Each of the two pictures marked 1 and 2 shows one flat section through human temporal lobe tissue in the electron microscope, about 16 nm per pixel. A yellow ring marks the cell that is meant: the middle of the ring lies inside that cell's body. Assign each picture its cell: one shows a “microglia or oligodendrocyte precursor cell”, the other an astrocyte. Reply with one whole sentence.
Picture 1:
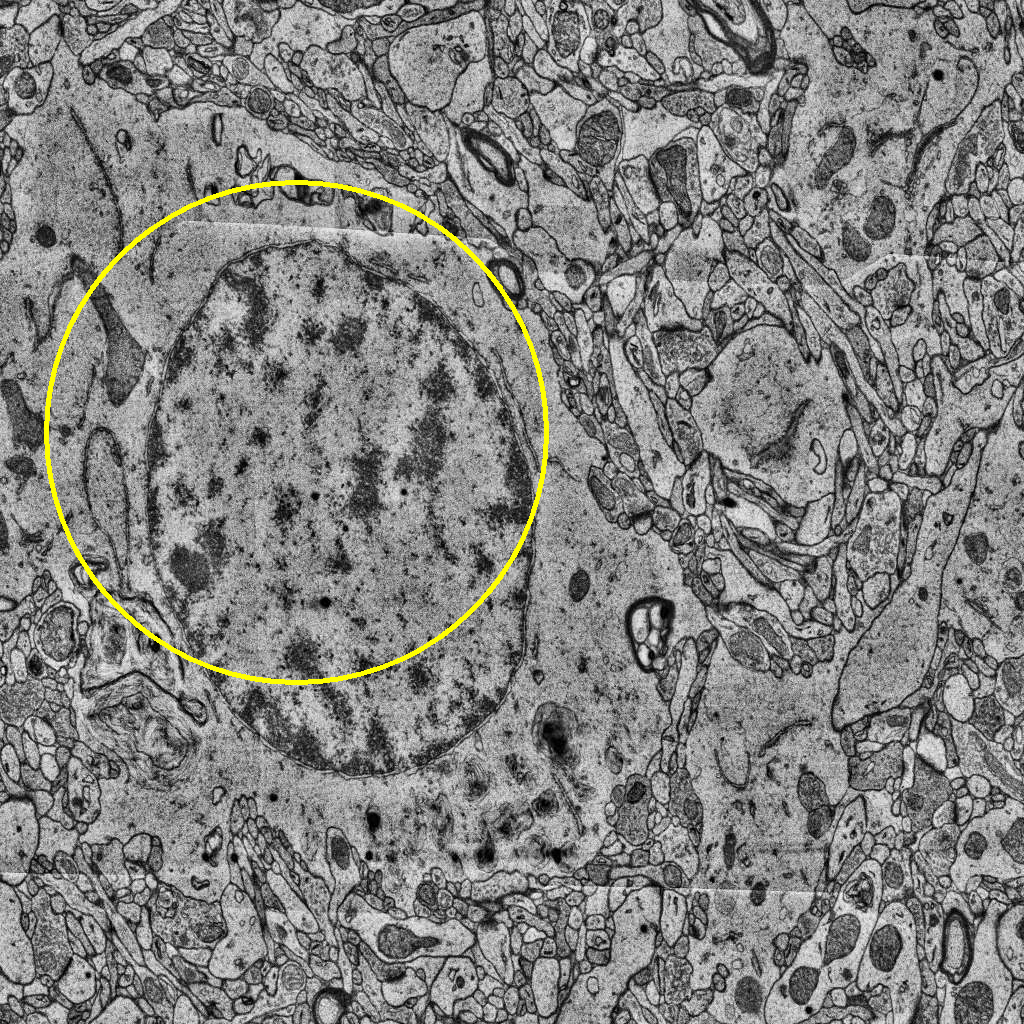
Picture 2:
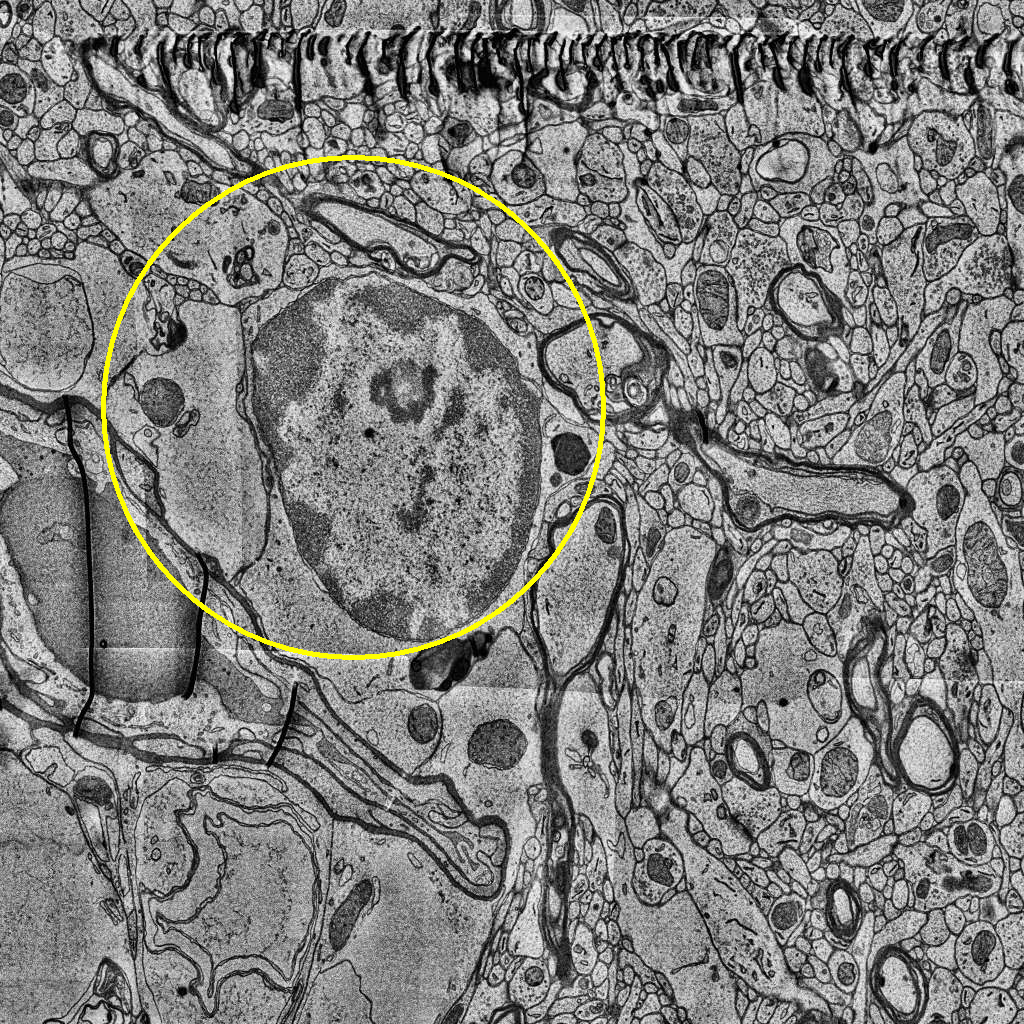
Picture 2 shows a “microglia or oligodendrocyte precursor cell”, while picture 1 shows an astrocyte.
